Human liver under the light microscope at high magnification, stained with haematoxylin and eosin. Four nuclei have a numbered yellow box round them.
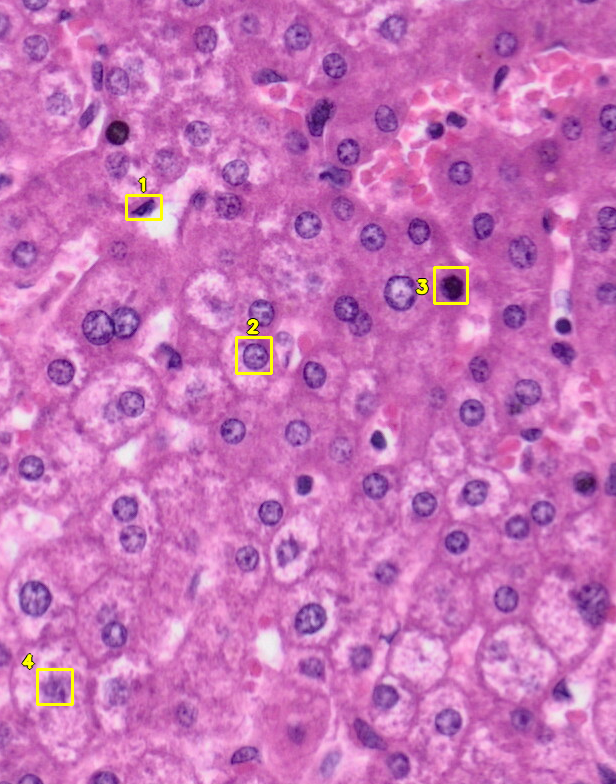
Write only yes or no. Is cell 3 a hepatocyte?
yes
